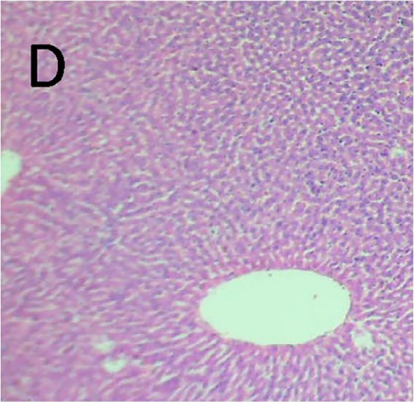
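Liver tissue showing hepatic parenchyma at low magnification. Cords of polygonal hepatocytes with pink cytoplasm and round, purple nuclei run in an orderly radiating pattern toward a large, oval, empty vessel lumen near the lower middle of the field. Thin, pale, slit-like spaces lie between the cell cords, giving a regular lacy pattern across the tissue. A few smaller clear vessel spaces appear at the left edge and beside the large vessel. The cords keep a uniform arrangement throughout the field, and the cells show no large clear vacuoles.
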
